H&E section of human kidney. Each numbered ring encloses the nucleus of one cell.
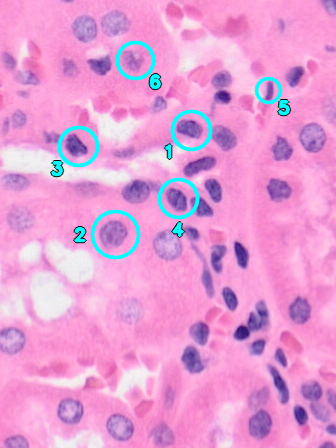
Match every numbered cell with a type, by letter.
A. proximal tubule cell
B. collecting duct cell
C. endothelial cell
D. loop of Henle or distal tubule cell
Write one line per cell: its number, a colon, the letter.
1: B
2: A
3: B
4: B
5: C
6: D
